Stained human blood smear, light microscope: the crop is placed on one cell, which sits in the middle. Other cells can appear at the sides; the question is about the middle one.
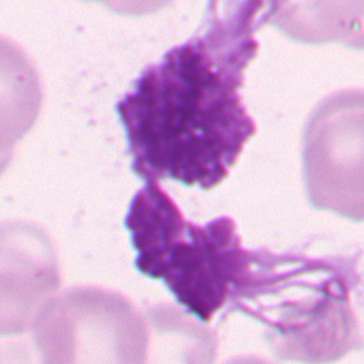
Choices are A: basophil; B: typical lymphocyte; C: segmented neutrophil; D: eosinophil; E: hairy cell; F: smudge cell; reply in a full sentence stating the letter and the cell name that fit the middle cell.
Given that the cell in the middle is a smudge cell, option F is correct.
